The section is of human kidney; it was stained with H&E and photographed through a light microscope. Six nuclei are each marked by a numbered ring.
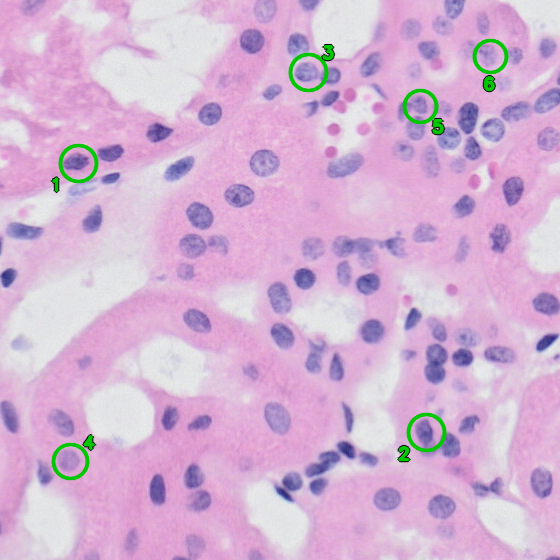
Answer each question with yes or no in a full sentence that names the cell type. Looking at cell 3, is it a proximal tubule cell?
No, the cell labelled 3 is a collecting duct cell and not a proximal tubule cell.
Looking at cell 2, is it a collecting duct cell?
Yes, kindly take note: the cell numbered 2 is a collecting duct cell.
